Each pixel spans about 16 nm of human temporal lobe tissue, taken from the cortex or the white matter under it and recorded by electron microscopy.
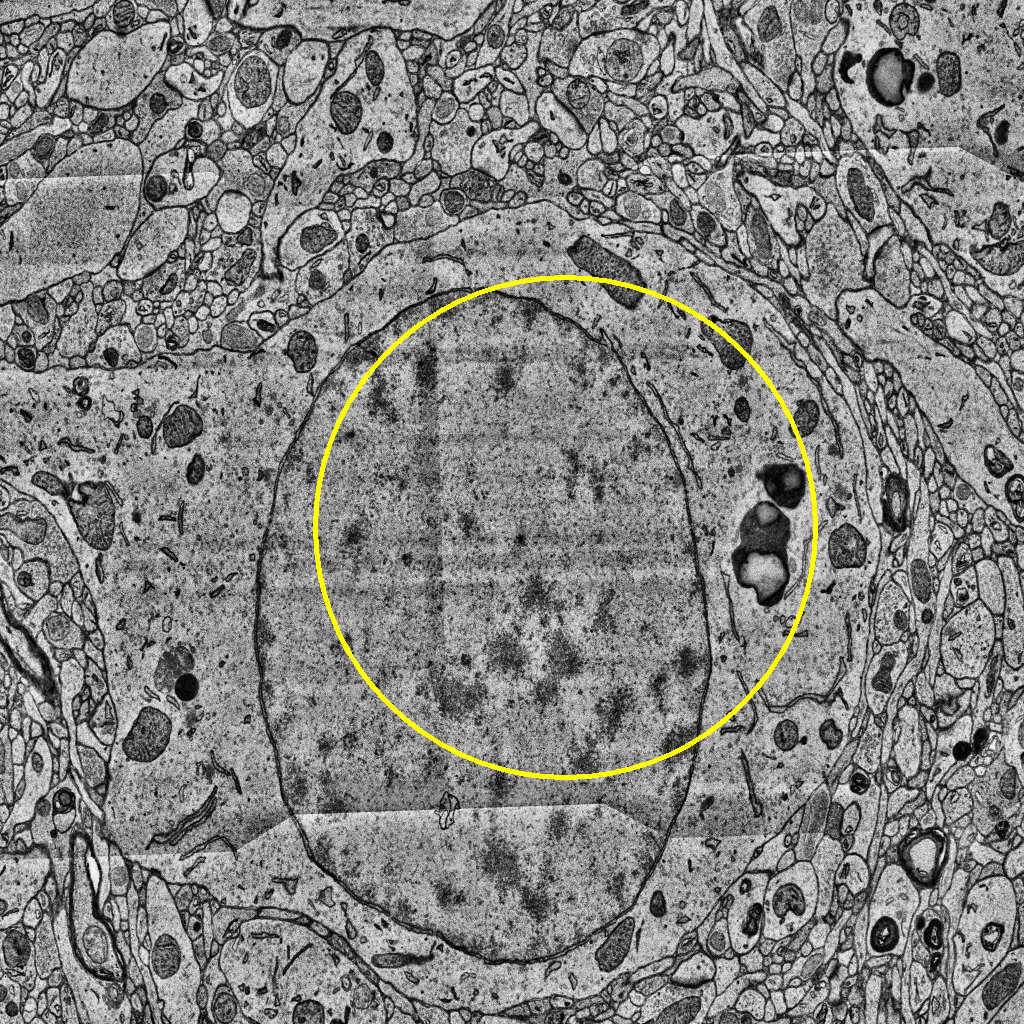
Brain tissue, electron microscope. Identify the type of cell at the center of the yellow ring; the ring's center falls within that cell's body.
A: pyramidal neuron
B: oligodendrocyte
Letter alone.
A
